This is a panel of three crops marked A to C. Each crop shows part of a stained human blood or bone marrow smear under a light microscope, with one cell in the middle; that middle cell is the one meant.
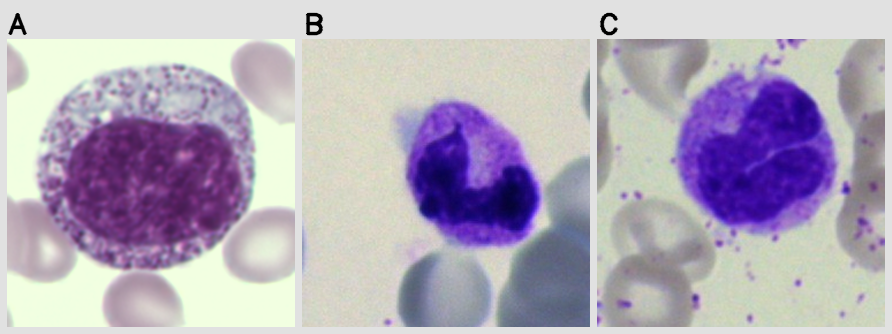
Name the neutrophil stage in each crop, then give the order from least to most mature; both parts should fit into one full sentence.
In order from least mature to most mature, the crops stand crop A (a myelocyte), crop C (a metamyelocyte) and crop B (a band neutrophil).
